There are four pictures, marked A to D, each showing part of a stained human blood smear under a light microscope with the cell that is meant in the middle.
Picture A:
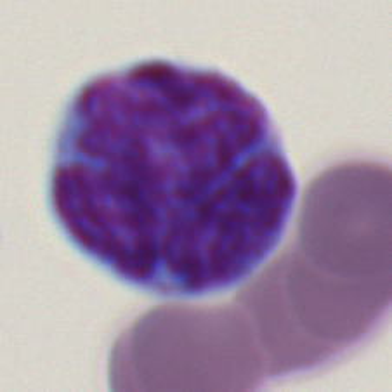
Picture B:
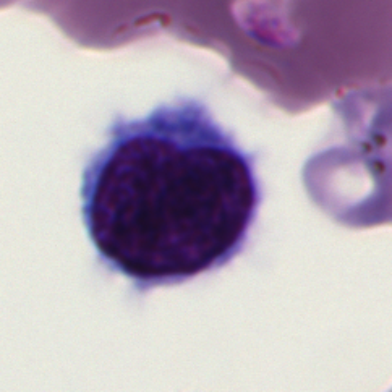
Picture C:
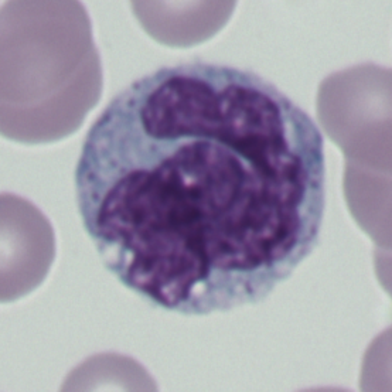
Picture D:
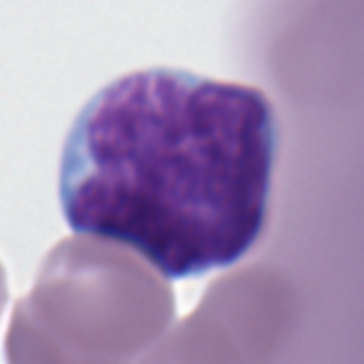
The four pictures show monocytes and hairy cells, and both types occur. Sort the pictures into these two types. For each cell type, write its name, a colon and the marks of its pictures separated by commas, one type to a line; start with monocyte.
monocyte: A, C, D
hairy cell: B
